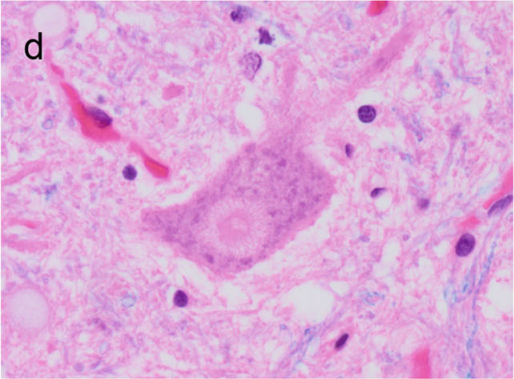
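The inclusion has a pink centre surrounded by a paler halo, giving it a target-like look. The cytoplasm around it is finely granular and purplish-pink. Small dark glial nuclei and pink-staining vessels lie in the surrounding neuropil.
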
